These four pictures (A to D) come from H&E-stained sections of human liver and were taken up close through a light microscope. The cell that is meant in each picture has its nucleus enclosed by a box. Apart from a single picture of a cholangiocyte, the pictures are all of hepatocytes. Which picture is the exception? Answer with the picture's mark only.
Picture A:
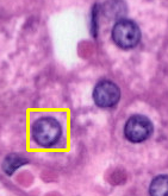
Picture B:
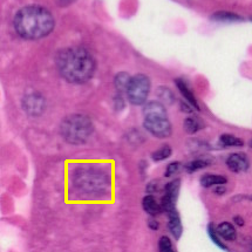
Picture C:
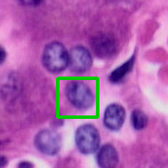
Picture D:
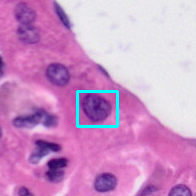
C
